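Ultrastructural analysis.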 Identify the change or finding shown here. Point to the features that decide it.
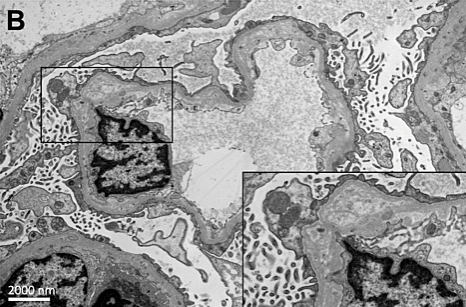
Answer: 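Many slender finger-like cytoplasmic projections fill the urinary space beside the capillary loops. That points to this answer: microvillous transformation.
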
